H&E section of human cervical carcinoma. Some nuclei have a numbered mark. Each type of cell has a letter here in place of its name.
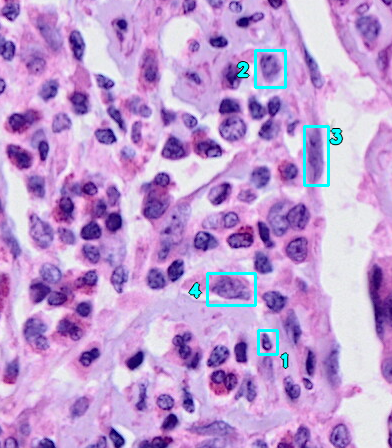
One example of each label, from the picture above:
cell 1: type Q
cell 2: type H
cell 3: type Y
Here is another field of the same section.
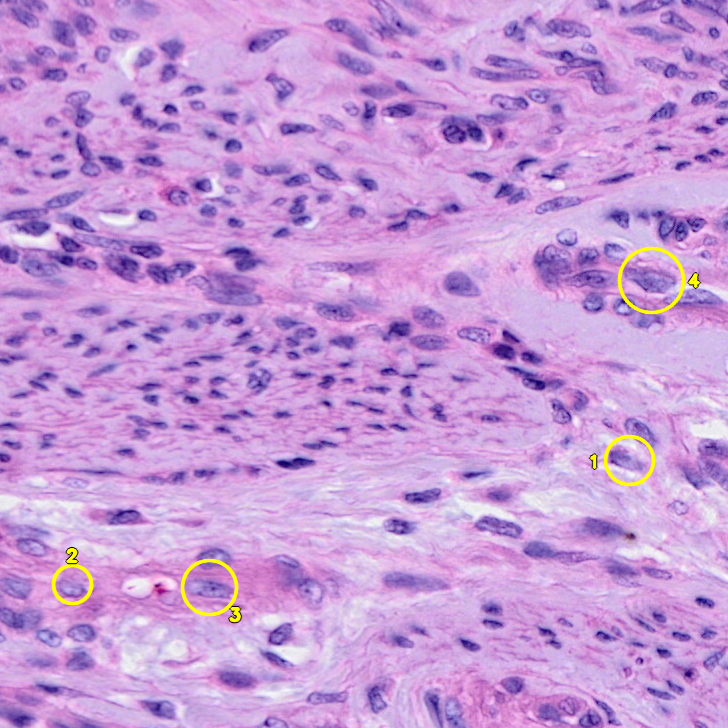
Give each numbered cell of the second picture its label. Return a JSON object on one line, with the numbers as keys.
{"1": "type H", "2": "type Y", "3": "type Y", "4": "type Y"}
